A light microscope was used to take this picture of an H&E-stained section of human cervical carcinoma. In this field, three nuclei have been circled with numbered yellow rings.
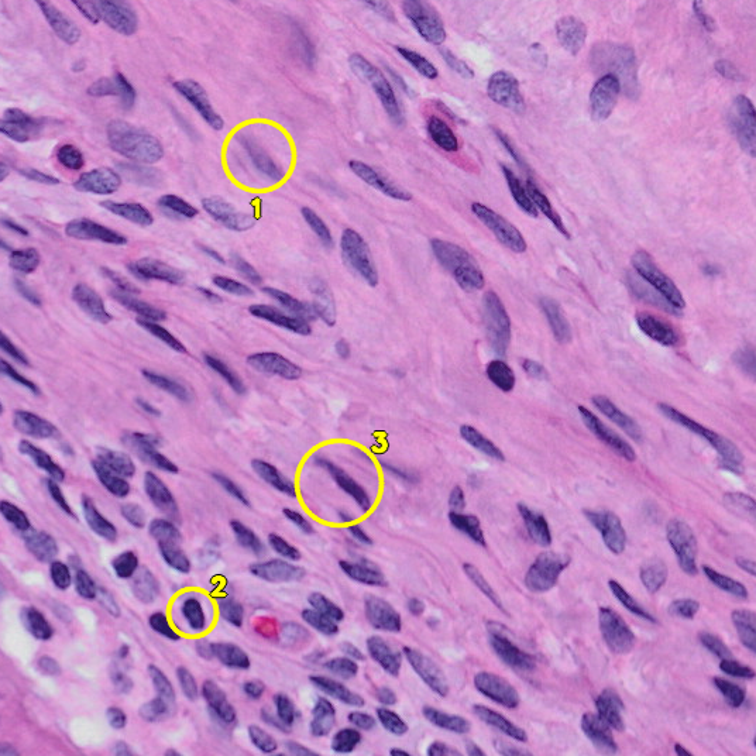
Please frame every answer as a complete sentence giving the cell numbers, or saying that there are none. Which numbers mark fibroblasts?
By cell type, the cells numbered 1 and 3 are fibroblasts.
